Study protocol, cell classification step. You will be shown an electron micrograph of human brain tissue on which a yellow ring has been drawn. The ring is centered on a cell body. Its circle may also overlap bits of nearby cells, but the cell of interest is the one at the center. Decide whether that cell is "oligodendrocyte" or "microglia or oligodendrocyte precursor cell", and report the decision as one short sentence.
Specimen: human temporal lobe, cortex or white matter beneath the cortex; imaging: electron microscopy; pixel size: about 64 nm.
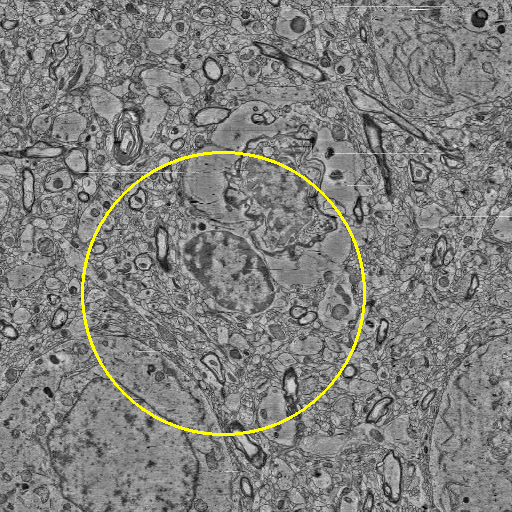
The marked cell is a microglial cell or oligodendrocyte precursor cell.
